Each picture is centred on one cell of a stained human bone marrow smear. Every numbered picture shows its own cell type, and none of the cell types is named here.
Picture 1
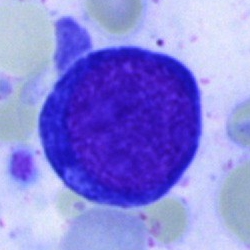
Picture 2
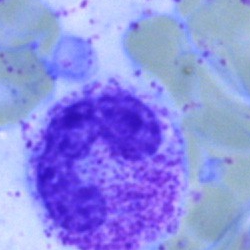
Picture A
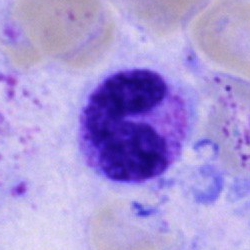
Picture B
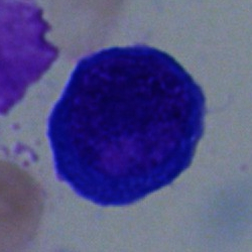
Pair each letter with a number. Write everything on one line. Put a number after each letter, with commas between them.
A 2, B 1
